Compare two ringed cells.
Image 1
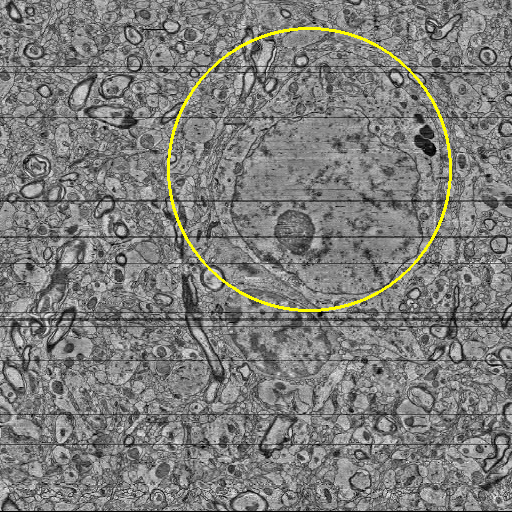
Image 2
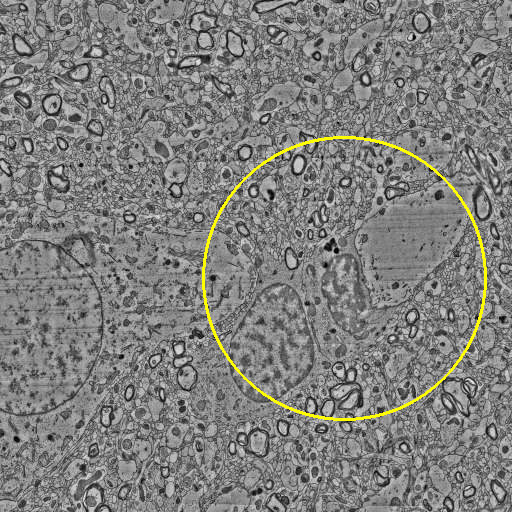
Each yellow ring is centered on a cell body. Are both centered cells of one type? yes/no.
no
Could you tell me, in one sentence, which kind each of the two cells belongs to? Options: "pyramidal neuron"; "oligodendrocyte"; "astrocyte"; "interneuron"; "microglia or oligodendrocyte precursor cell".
At the centre of the first ring sits a pyramidal neuron, and at the centre of the second sits an oligodendrocyte.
